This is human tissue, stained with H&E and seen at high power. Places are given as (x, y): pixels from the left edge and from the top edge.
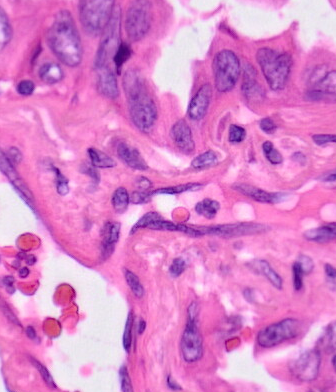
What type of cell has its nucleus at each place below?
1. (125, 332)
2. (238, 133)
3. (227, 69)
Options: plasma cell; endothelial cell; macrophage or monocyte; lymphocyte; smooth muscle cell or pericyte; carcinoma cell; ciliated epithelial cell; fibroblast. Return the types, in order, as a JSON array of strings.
["endothelial cell", "lymphocyte", "carcinoma cell"]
